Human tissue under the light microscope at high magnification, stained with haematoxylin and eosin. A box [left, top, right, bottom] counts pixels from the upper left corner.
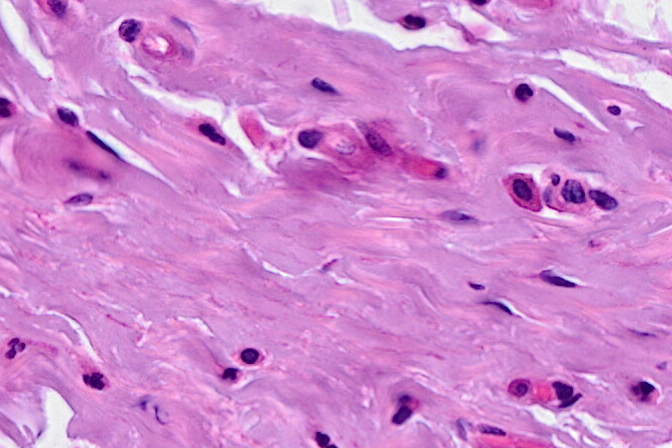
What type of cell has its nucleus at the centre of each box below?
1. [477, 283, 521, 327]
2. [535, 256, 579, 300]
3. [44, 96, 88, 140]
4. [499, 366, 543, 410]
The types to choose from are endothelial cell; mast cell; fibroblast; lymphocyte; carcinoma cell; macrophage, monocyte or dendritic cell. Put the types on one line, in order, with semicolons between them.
fibroblast; fibroblast; fibroblast; mast cell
